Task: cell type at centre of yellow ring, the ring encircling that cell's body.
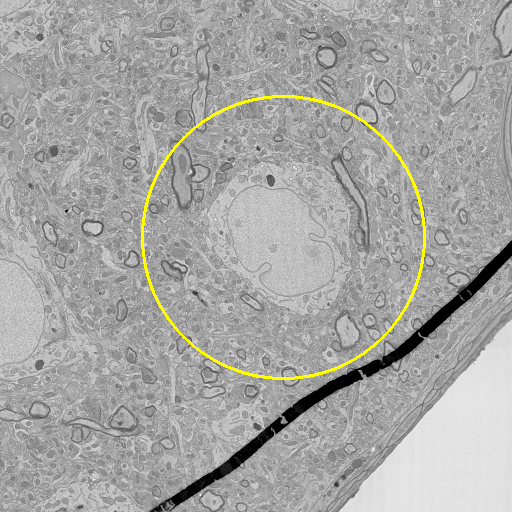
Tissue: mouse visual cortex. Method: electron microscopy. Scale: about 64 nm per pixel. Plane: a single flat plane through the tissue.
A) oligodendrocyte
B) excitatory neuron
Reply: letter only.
B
